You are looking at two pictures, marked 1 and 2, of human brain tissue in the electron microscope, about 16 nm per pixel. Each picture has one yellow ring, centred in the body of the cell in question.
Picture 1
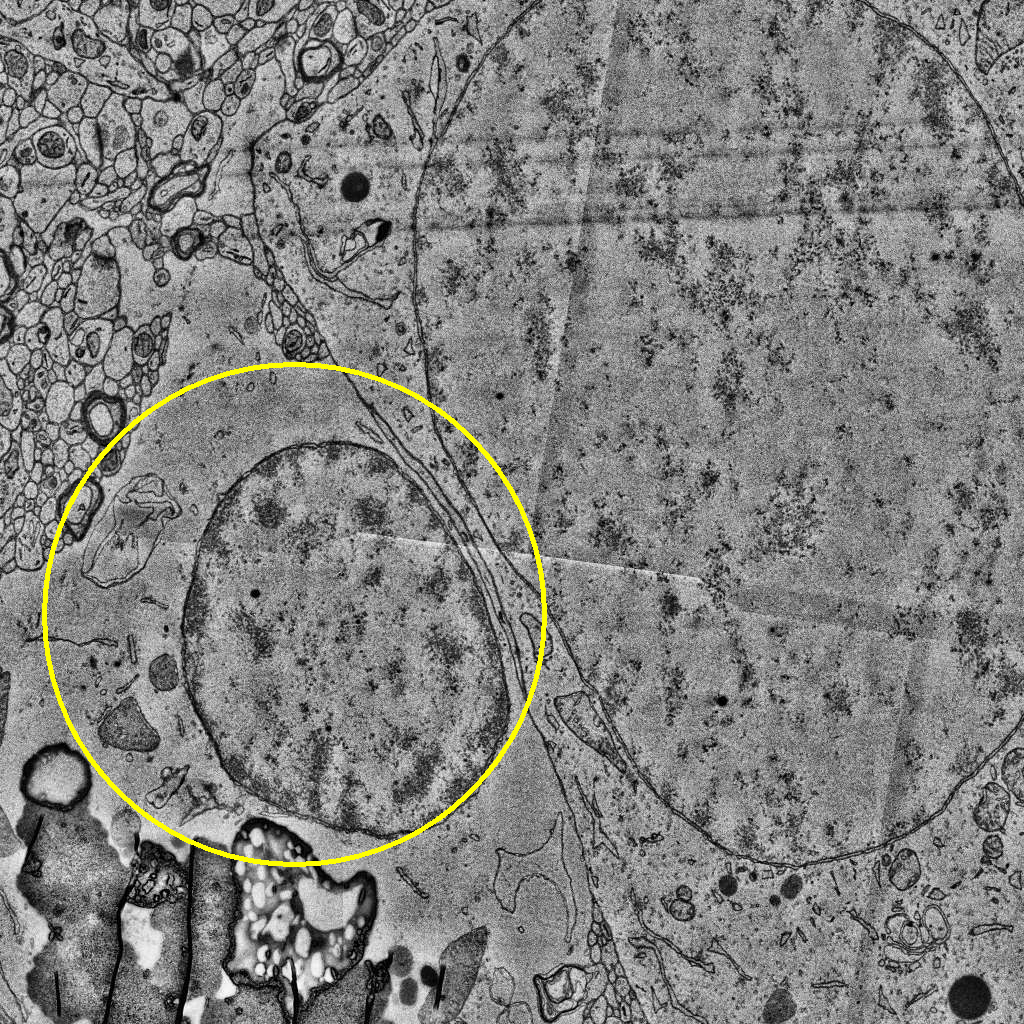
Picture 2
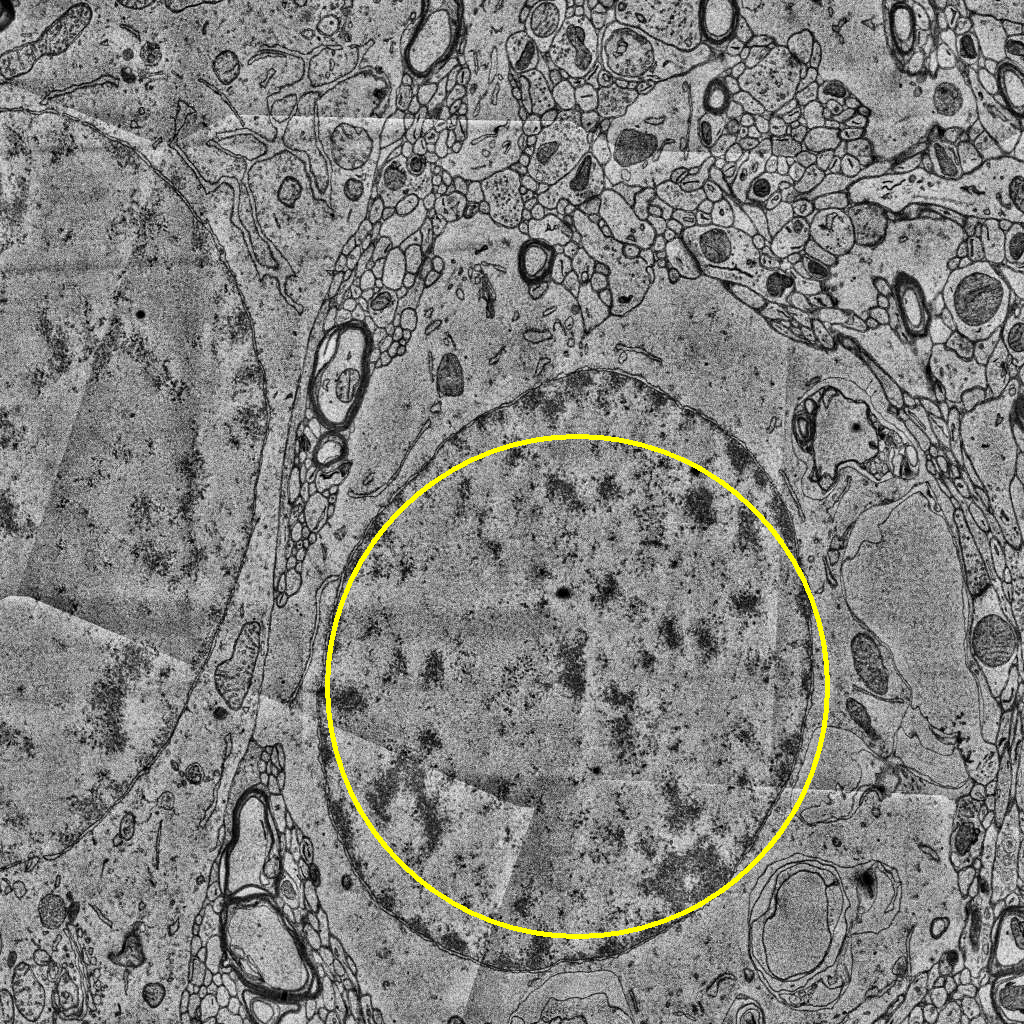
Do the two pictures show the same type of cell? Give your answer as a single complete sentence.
Yes, the two pictures both show astrocytes.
